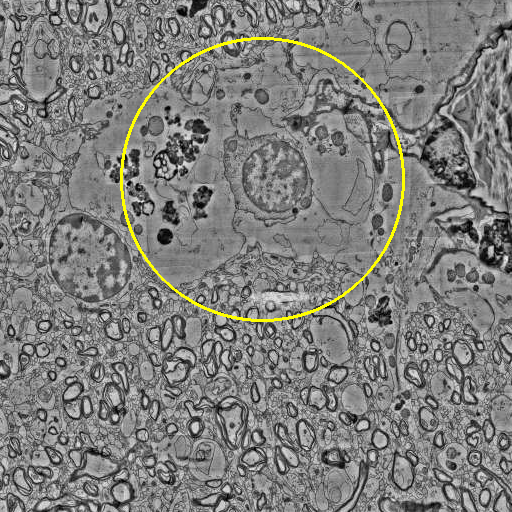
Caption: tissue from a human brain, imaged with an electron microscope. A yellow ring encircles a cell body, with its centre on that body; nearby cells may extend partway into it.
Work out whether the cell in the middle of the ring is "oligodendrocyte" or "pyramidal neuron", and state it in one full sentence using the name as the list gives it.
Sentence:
In the picture, the cell that the yellow ring surrounds at its centre is an oligodendrocyte.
